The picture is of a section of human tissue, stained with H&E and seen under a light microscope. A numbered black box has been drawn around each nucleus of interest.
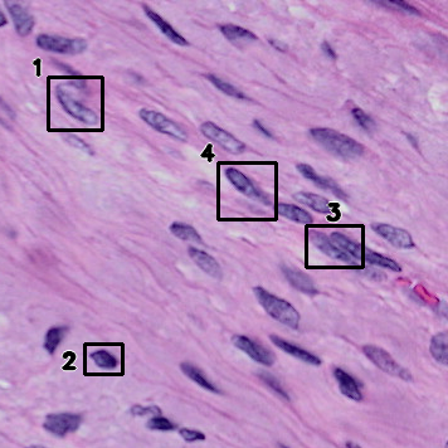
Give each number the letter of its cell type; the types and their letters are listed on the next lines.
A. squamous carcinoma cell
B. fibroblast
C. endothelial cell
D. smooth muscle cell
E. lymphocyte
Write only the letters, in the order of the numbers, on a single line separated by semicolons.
D; B; C; C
